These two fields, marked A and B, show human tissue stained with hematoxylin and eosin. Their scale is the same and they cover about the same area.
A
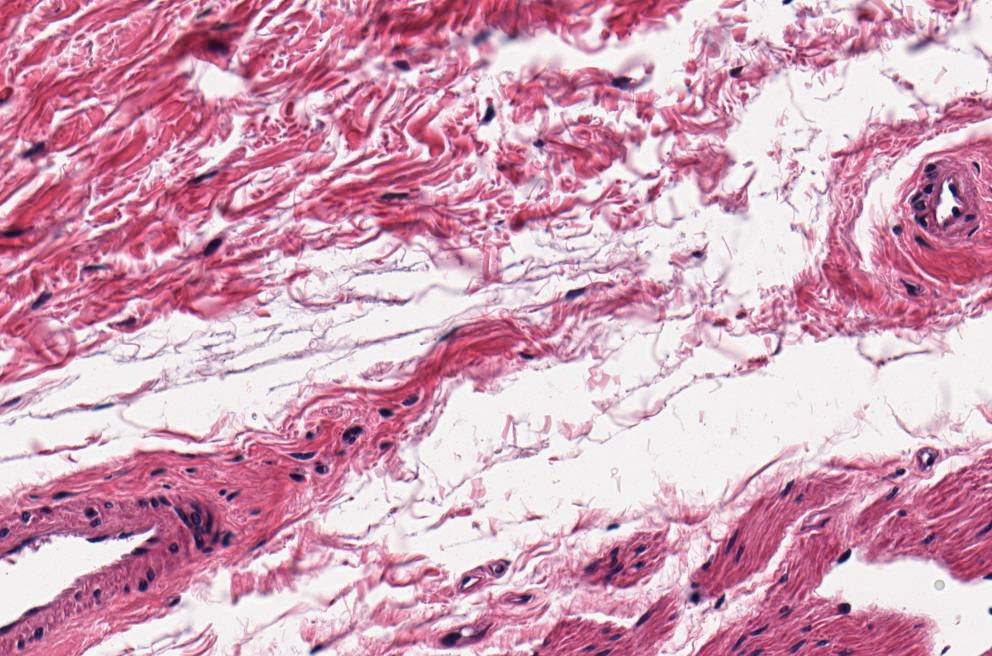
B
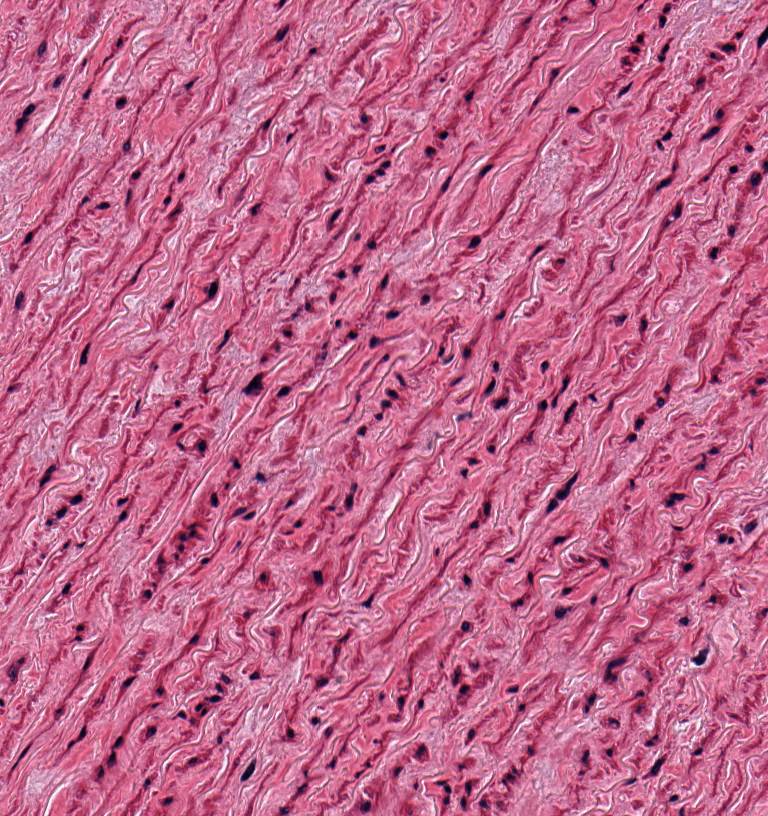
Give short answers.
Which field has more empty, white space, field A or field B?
A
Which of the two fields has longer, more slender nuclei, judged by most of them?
A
